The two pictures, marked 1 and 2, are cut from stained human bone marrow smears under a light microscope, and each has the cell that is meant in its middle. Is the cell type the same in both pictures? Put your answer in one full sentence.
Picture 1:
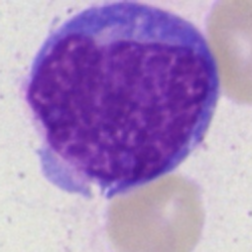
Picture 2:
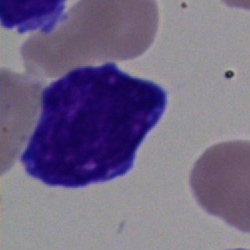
Yes, both cells are blasts.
